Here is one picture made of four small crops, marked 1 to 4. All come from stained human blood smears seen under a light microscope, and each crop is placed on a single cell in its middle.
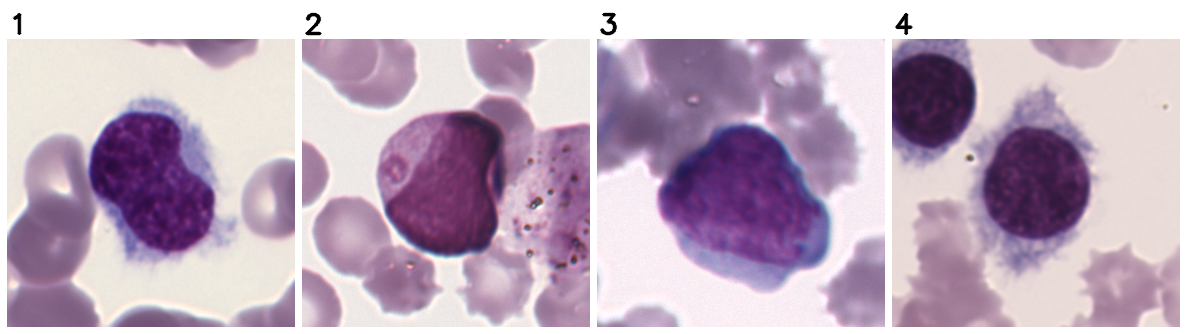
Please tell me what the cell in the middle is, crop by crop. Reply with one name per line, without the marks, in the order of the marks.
hairy cell
myeloblast
myeloblast
hairy cell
